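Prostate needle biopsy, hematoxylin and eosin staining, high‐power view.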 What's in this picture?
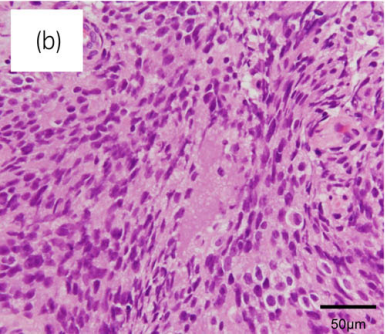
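A dense sheet of tumour cells with crowded, oval to spindled, dark-staining nuclei and scant pink cytoplasm, arranged in streaming, haphazard fashion with little intervening stroma. Small pale pink acellular areas lie among the cells.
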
